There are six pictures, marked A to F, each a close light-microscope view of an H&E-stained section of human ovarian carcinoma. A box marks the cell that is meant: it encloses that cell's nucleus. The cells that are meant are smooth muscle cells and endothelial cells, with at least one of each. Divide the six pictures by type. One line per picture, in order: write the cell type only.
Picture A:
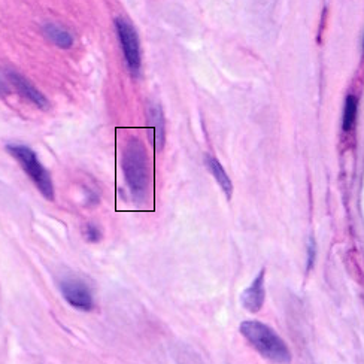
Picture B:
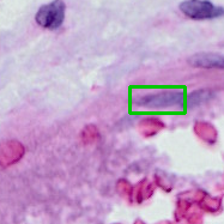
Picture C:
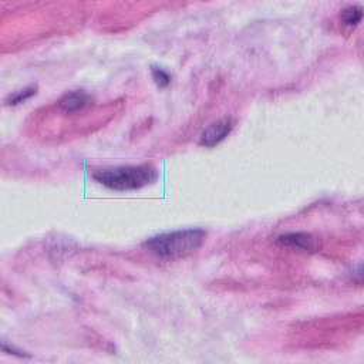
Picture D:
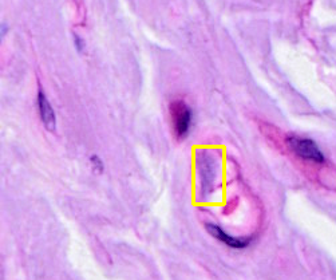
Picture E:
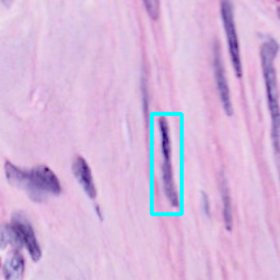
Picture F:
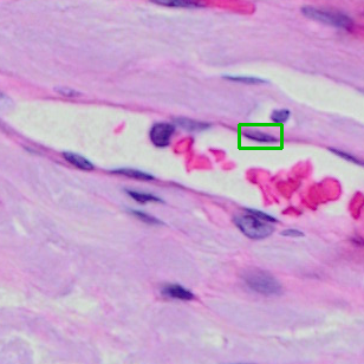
smooth muscle cell
endothelial cell
endothelial cell
endothelial cell
smooth muscle cell
endothelial cell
